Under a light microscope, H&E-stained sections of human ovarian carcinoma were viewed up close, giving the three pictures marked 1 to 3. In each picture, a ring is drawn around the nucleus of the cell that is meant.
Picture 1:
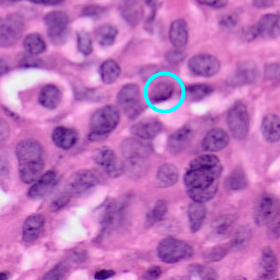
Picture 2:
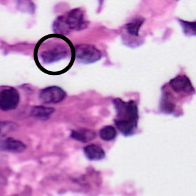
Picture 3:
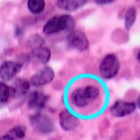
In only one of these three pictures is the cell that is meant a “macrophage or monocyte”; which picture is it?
3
